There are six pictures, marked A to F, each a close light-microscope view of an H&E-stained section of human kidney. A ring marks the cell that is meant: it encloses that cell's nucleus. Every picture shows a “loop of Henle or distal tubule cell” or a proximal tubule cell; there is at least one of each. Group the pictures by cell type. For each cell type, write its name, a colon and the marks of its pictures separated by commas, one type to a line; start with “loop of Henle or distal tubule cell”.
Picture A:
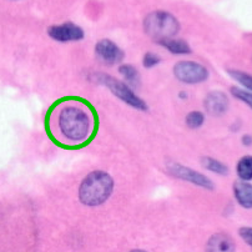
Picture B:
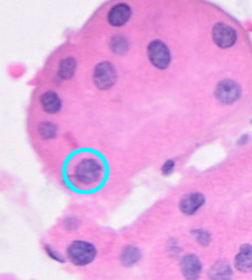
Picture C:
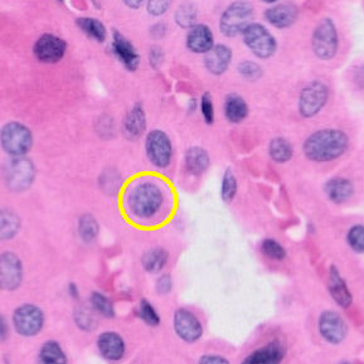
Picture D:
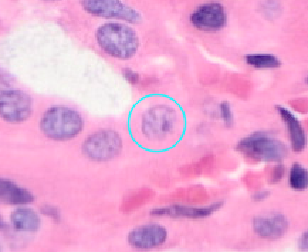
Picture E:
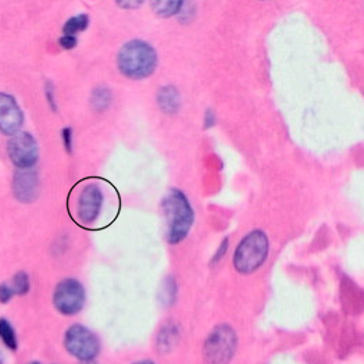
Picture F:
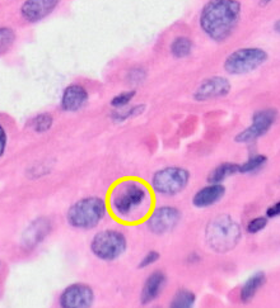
loop of Henle or distal tubule cell: C, D, E, F
proximal tubule cell: A, B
